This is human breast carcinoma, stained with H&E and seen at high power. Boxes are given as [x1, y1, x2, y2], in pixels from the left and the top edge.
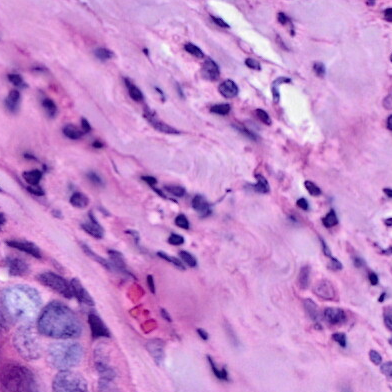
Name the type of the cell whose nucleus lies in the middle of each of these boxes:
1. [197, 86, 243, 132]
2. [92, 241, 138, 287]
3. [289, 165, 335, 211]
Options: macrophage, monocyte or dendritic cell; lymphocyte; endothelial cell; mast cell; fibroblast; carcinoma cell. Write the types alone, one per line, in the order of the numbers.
lymphocyte
endothelial cell
lymphocyte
